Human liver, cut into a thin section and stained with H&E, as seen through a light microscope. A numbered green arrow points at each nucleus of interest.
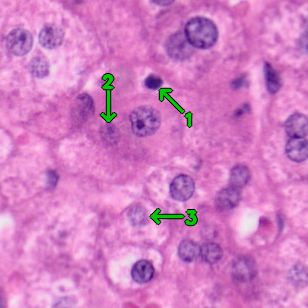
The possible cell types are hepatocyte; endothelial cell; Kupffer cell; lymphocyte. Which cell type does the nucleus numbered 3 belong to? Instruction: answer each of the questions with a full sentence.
It is as a hepatocyte that the cell numbered 3 is identified.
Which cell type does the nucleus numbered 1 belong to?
The cell numbered 1 has been identified as a lymphocyte.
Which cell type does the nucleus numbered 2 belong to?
The cell tagged with 2 in this tissue section is a hepatocyte.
